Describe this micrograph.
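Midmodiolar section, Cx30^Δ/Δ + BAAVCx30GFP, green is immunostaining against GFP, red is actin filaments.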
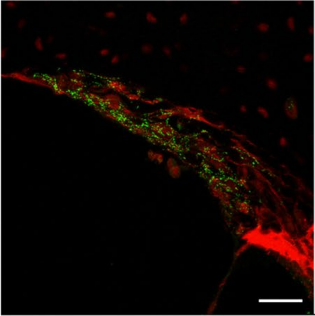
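A slanting band of tissue of several cell layers. Fine green dots are scattered densely through the upper part of the band. Toward the lower right there is a bright red, wedge-shaped structure where the tissue meets a thin membrane. This is the supra-strial zone of the cochlear lateral wall.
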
